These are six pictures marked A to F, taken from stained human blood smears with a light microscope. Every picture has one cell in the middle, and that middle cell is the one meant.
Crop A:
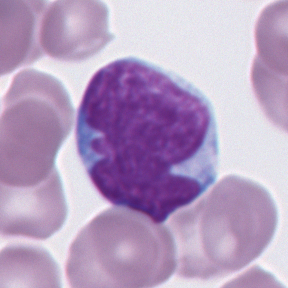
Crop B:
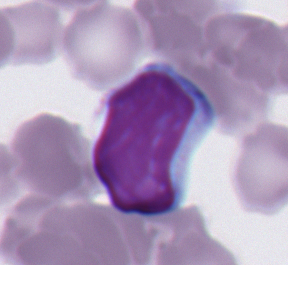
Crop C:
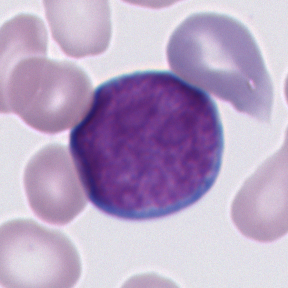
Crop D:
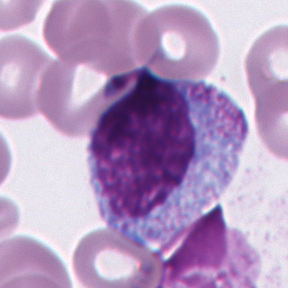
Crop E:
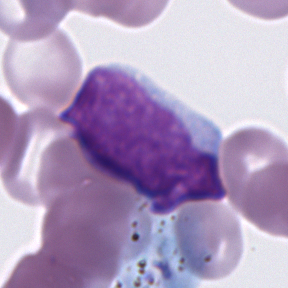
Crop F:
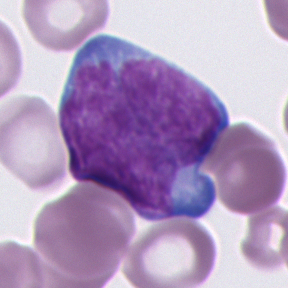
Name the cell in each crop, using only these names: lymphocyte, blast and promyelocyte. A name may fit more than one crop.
A: blast
B: lymphocyte
C: blast
D: promyelocyte
E: blast
F: blast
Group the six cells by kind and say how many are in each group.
blast: 4
lymphocyte: 1
promyelocyte: 1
